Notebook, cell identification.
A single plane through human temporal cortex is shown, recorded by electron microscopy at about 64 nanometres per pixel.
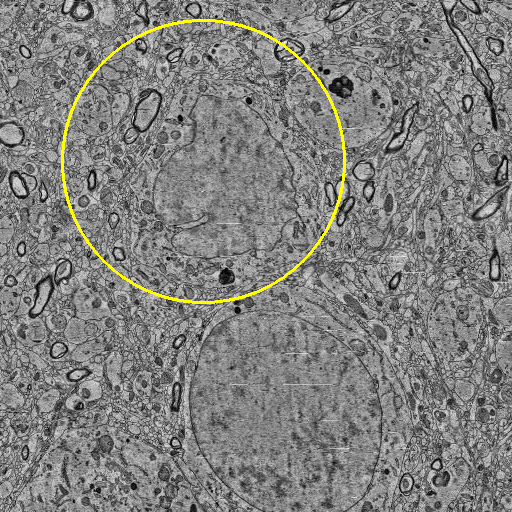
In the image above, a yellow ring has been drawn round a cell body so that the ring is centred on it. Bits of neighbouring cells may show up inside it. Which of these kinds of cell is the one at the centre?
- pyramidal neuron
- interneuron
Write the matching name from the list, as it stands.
interneuron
